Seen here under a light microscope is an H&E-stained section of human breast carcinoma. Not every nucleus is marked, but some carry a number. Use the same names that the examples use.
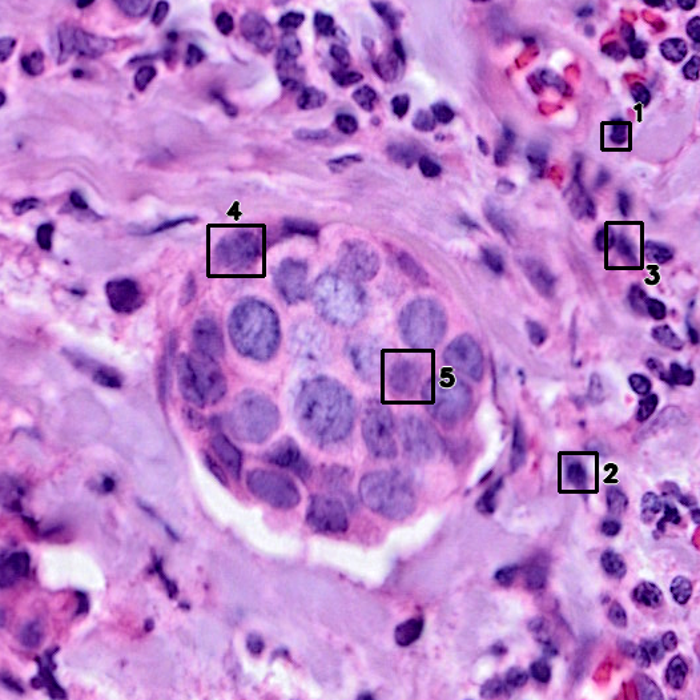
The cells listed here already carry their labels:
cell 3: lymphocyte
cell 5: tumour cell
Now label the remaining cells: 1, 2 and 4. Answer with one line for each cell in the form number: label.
1: lymphocyte
2: lymphocyte
4: tumour cell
